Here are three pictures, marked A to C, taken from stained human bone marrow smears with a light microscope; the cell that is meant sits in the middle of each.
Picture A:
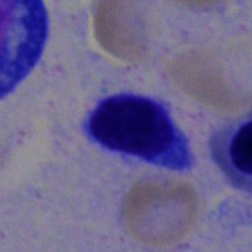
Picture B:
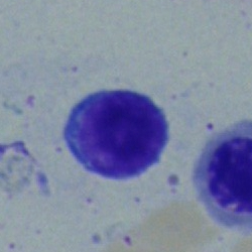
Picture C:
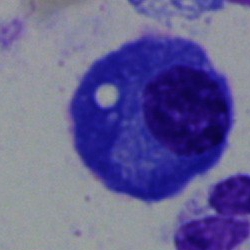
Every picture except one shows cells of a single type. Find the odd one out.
C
